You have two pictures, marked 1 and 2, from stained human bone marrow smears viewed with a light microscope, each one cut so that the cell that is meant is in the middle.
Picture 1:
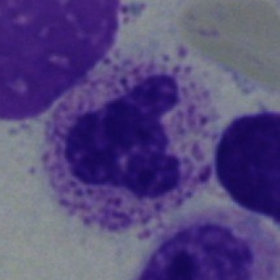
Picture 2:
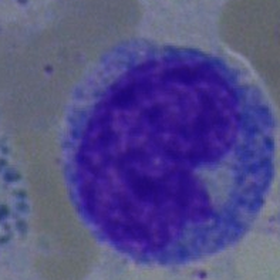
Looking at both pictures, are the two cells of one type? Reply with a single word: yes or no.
no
